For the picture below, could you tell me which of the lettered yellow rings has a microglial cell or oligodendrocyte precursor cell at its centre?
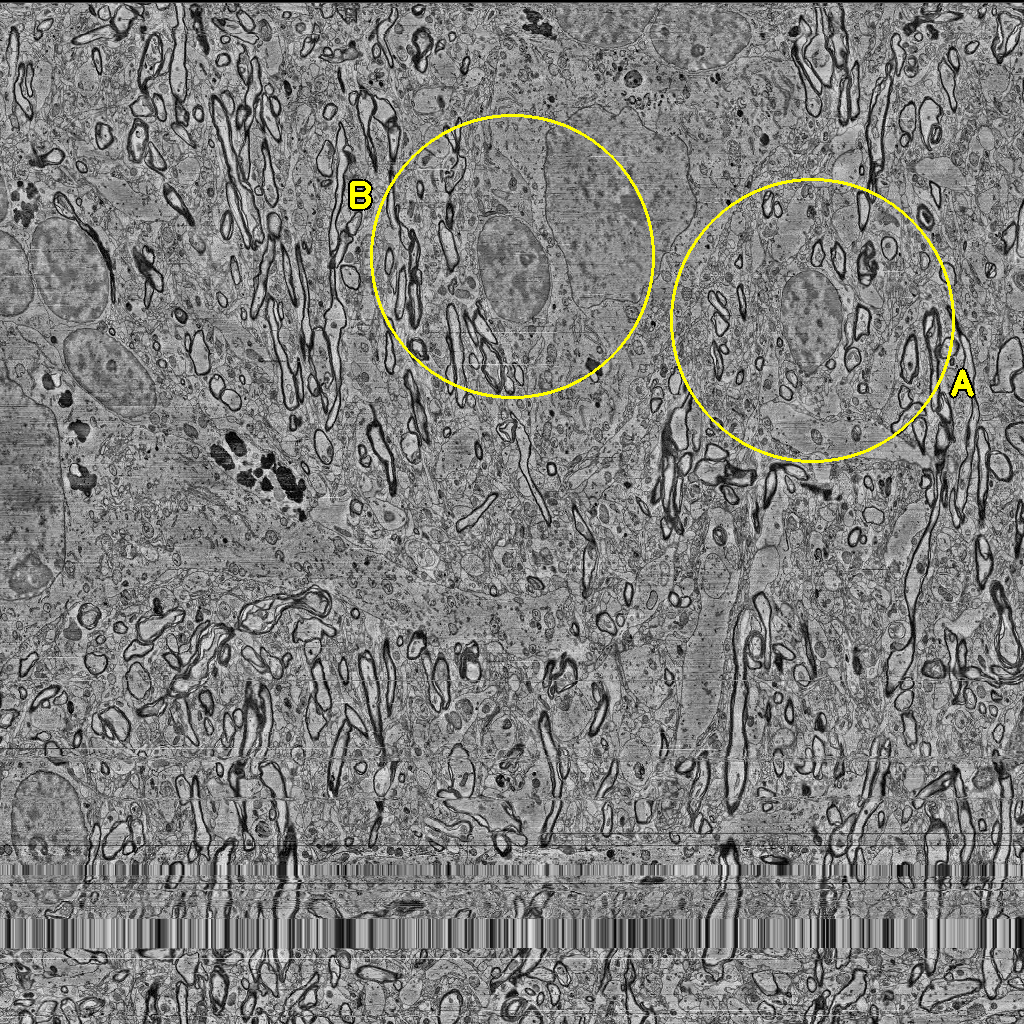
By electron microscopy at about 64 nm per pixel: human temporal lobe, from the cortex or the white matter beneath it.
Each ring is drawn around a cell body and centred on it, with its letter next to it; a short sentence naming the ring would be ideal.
Ring A is centred on it.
